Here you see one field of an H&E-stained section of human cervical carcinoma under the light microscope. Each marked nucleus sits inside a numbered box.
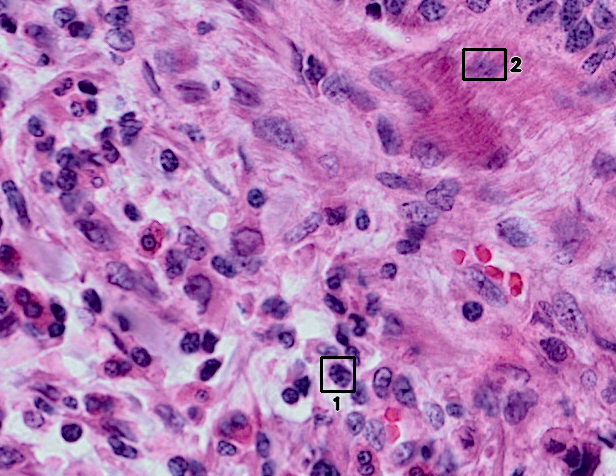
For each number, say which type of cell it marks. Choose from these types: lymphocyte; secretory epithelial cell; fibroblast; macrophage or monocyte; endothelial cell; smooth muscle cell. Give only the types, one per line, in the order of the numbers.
lymphocyte
fibroblast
